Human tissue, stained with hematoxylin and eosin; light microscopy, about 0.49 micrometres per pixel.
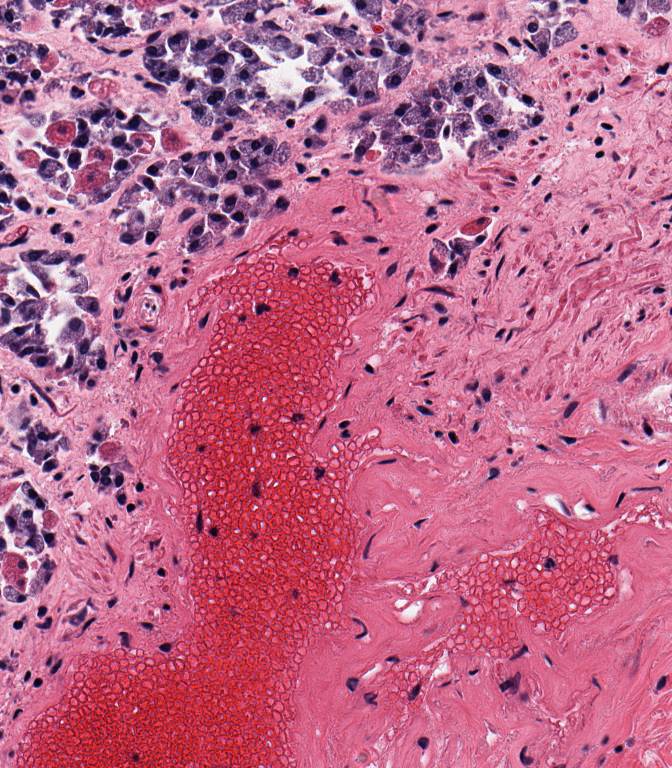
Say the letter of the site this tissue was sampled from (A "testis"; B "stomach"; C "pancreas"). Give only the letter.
B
